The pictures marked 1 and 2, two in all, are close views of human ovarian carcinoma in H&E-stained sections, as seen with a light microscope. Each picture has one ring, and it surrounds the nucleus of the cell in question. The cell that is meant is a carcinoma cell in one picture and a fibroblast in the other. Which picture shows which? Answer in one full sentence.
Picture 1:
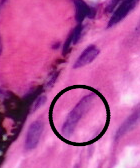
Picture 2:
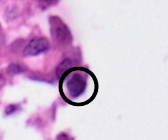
In picture 1 the cell is a fibroblast; in picture 2, a carcinoma cell.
